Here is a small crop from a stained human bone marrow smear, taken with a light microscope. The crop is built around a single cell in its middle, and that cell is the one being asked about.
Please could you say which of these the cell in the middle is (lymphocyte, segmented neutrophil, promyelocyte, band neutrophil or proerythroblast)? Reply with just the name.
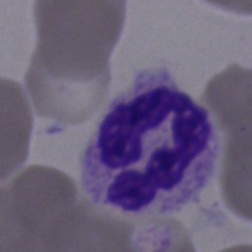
segmented neutrophil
